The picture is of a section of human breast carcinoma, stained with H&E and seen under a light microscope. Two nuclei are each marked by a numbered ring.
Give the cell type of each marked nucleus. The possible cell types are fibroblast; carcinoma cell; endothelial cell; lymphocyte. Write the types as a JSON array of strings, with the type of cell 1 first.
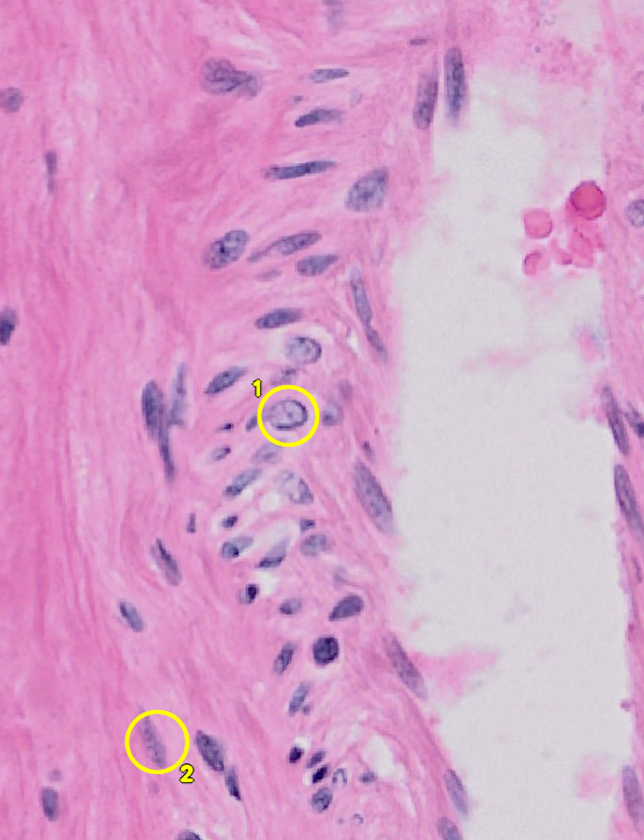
["endothelial cell", "fibroblast"]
